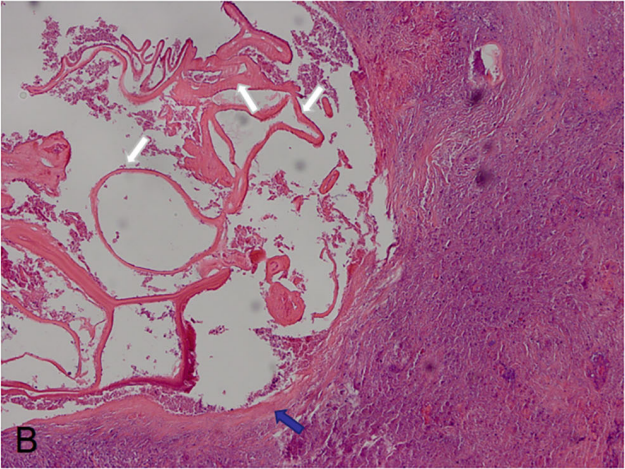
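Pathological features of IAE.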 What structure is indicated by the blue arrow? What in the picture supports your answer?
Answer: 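A dense pink band of fibrous tissue lines the edge of the cavity. The band separates the cavity from the cellular tissue on the right.
Conclusion: fibrotic cyst wall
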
